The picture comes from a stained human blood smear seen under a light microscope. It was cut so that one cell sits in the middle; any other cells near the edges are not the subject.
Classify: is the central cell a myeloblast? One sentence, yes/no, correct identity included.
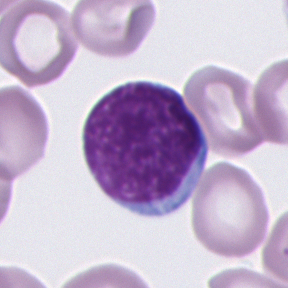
Yes, the cell at the centre of this crop is identified as a myeloblast.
